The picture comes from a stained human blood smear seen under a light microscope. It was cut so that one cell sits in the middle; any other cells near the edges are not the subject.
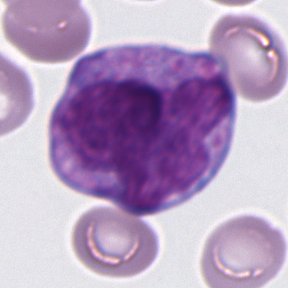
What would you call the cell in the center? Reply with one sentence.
By classification, the middle cell of this crop is an atypical promyelocyte.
